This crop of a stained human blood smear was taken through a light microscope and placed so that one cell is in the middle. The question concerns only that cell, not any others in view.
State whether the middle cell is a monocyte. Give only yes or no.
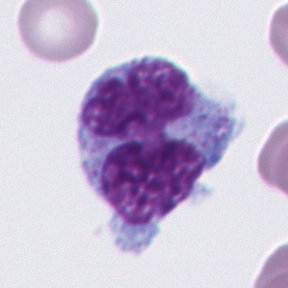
yes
